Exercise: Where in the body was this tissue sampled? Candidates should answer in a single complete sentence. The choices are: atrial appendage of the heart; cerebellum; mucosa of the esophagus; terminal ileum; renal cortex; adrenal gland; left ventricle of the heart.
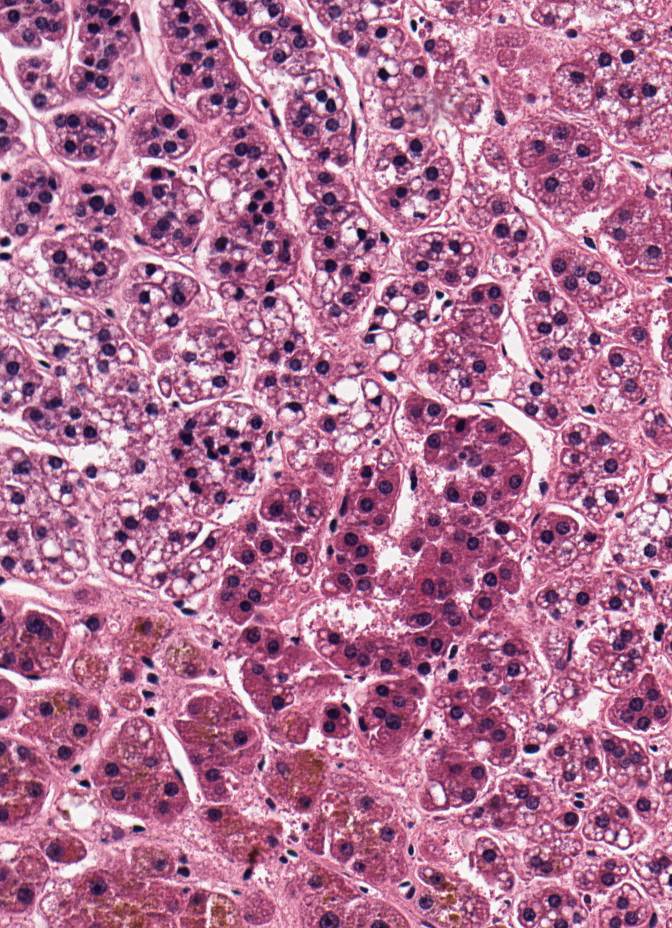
Tissue of the adrenal gland was sampled to make this section.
